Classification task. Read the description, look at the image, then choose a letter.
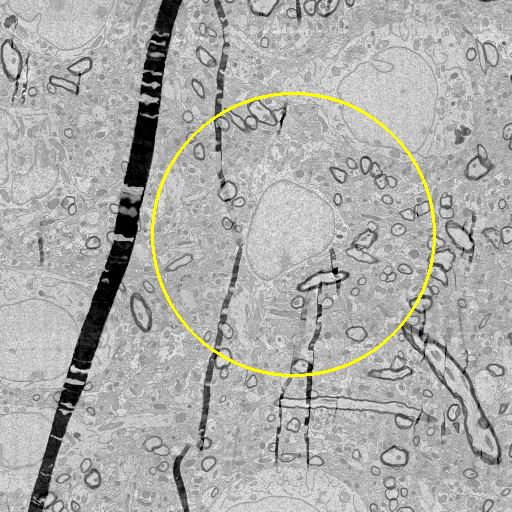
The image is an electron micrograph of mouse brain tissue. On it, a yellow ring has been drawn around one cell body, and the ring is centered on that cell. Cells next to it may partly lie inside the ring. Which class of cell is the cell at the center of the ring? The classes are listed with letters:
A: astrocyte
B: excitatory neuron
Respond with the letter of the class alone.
A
